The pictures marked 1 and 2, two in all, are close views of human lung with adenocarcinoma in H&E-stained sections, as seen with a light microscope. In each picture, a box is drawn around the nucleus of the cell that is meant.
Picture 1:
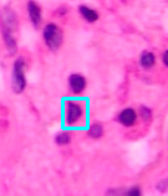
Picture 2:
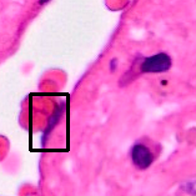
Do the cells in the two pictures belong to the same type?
no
